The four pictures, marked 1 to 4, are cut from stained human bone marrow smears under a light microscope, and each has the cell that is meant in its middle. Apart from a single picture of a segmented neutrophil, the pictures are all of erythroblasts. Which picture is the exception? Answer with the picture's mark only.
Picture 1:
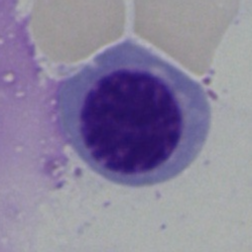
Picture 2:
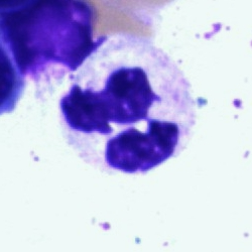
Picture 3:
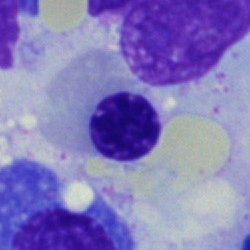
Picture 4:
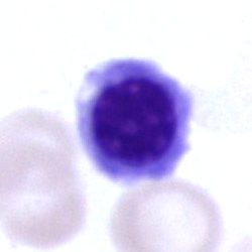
2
